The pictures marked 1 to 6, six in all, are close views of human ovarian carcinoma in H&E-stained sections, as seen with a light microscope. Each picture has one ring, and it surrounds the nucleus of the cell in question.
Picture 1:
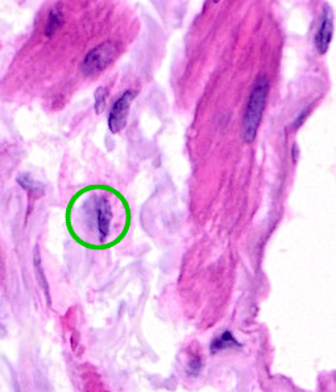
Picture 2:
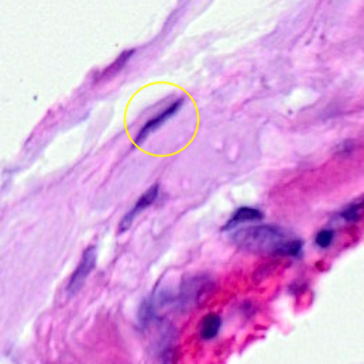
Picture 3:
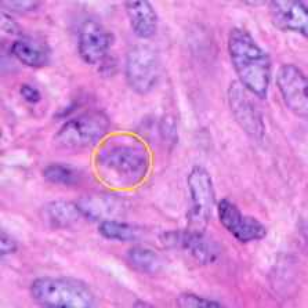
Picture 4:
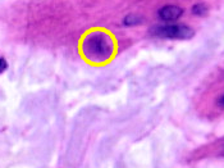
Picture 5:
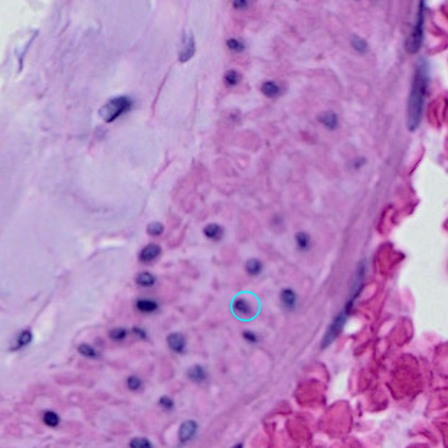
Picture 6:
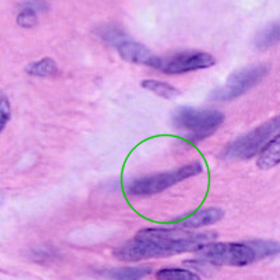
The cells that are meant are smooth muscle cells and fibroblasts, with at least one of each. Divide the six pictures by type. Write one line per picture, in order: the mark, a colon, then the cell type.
1: fibroblast
2: fibroblast
3: fibroblast
4: smooth muscle cell
5: smooth muscle cell
6: smooth muscle cell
